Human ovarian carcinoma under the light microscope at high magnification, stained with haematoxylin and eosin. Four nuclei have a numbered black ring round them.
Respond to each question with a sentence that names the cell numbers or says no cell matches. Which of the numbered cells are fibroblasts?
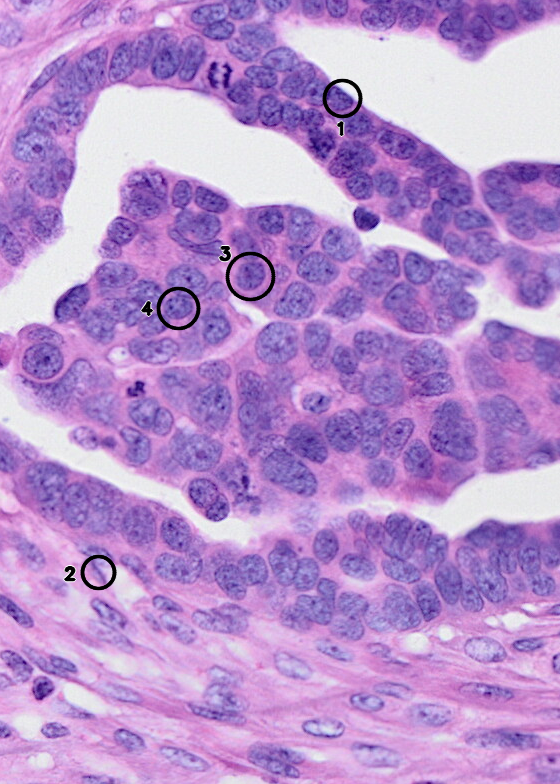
Among the numbered nuclei, only the one labelled 2 belongs to a fibroblast.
